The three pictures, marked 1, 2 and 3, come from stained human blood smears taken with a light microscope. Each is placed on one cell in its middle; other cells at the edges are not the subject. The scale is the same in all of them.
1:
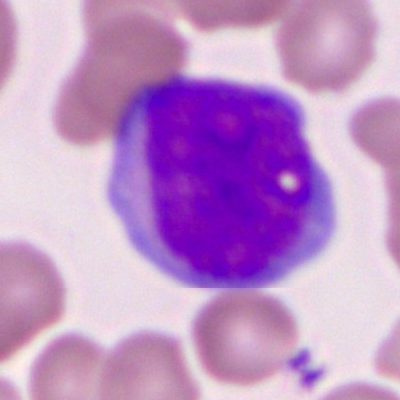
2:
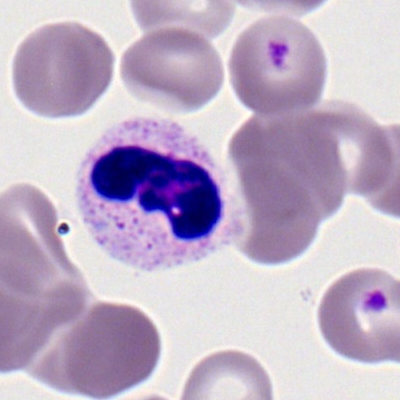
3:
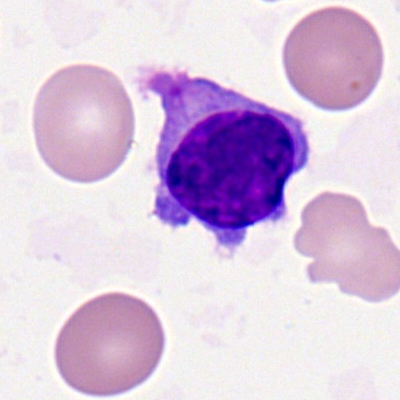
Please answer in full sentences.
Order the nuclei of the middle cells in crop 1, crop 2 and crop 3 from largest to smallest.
Going down, they run 1, 3, 2.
